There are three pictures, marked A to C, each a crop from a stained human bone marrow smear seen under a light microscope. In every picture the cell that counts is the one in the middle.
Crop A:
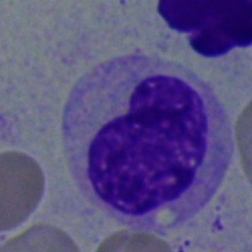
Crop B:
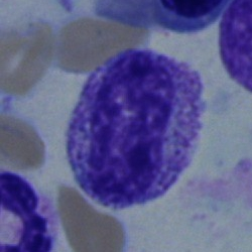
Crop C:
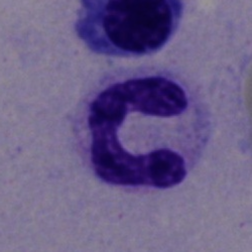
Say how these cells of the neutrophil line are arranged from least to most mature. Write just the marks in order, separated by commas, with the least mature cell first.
B, A, C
